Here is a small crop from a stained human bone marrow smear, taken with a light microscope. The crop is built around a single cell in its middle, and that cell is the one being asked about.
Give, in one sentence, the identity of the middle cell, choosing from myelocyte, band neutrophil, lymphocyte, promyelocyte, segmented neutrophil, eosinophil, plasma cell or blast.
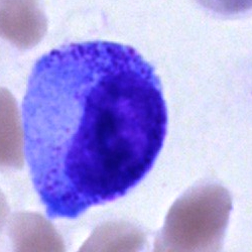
The single cell at the center of the crop is a promyelocyte.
